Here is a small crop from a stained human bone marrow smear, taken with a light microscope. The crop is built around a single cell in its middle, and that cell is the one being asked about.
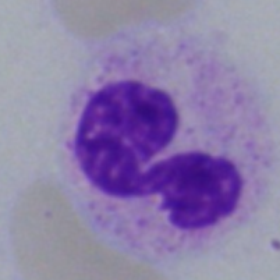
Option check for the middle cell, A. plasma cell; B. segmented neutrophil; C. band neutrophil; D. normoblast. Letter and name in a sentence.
In this crop the central cell is a segmented neutrophil, which option B correctly states.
